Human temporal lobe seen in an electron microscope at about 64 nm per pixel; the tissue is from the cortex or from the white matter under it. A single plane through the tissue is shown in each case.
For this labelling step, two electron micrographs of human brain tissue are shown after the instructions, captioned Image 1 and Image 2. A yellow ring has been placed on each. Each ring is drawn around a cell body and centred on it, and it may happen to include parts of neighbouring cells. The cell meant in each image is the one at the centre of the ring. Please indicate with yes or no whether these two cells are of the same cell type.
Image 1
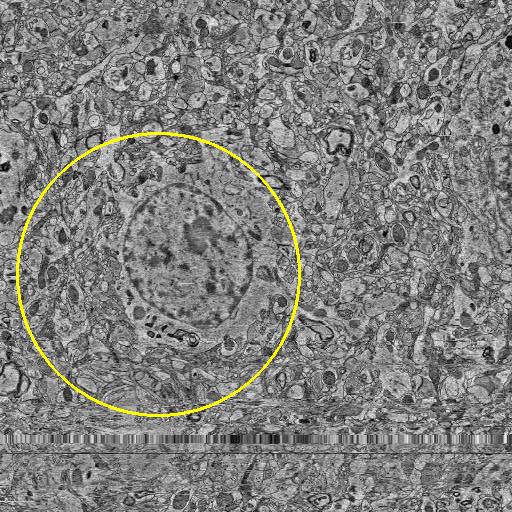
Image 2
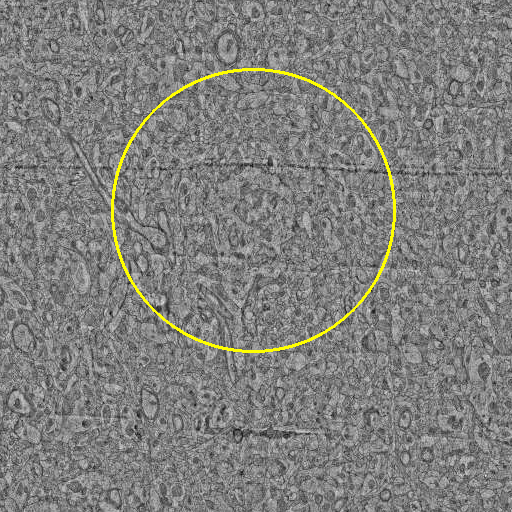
no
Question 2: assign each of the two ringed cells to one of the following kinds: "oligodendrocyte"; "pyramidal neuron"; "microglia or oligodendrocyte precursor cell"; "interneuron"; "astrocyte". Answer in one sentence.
The two cells are an astrocyte in the first picture and an interneuron in the second.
